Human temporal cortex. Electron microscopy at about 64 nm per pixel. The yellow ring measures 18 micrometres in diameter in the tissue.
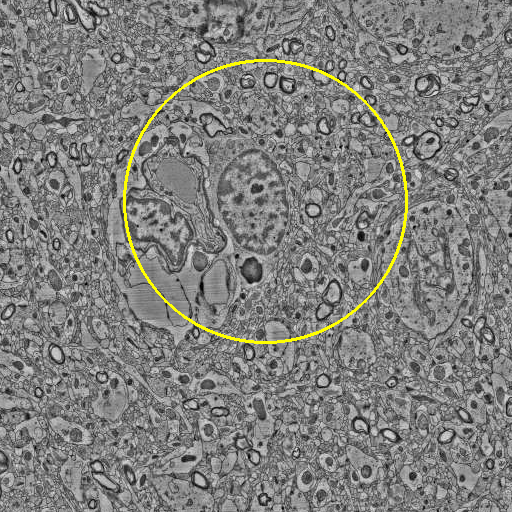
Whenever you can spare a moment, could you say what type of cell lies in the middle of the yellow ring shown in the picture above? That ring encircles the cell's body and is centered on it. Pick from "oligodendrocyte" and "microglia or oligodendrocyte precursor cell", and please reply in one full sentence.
The cell whose body sits at the middle of the yellow ring is an oligodendrocyte.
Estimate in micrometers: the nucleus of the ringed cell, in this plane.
The nucleus has a long axis of about 7 micrometres and a short axis of about 4 micrometres in this plane.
